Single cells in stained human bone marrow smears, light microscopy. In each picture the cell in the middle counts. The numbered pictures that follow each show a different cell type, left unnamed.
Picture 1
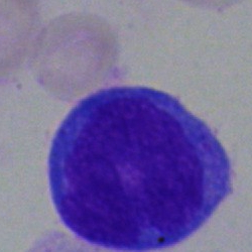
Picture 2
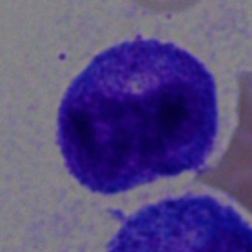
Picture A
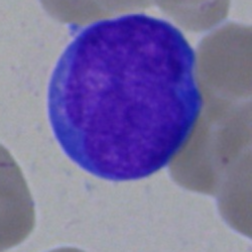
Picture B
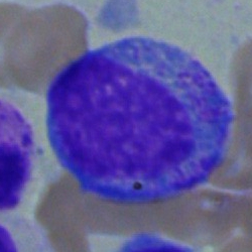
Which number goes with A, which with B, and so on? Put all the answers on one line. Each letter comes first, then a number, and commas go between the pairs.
A 1, B 2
